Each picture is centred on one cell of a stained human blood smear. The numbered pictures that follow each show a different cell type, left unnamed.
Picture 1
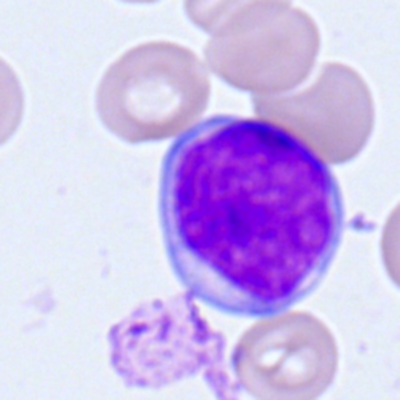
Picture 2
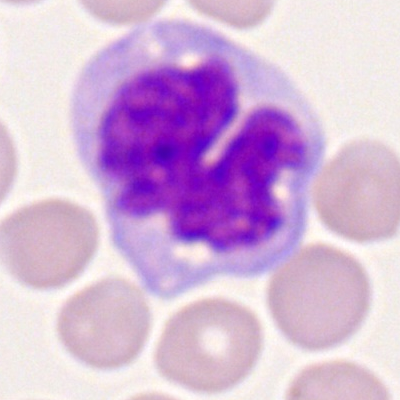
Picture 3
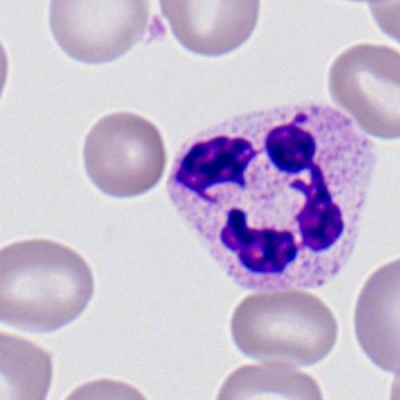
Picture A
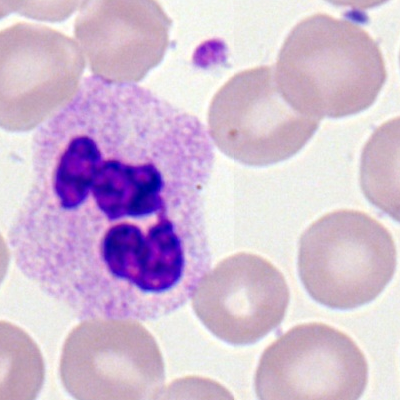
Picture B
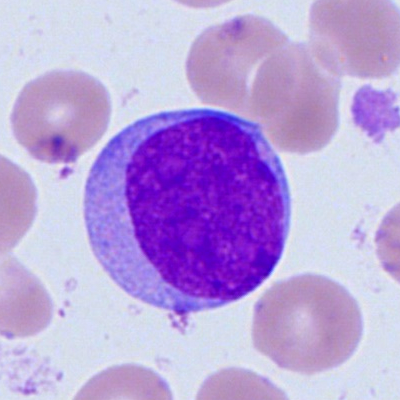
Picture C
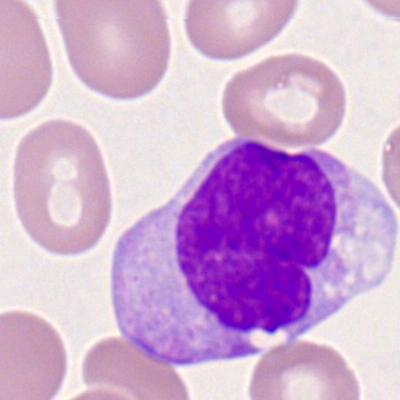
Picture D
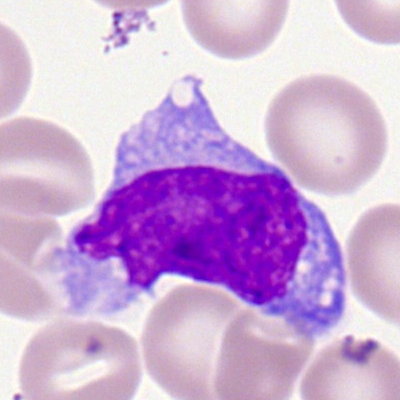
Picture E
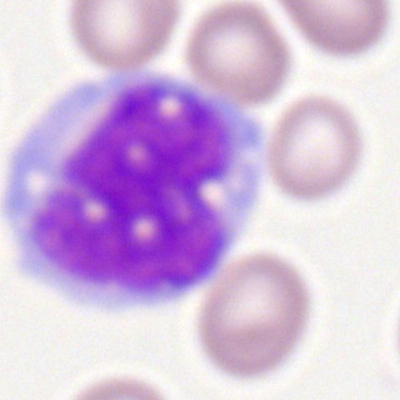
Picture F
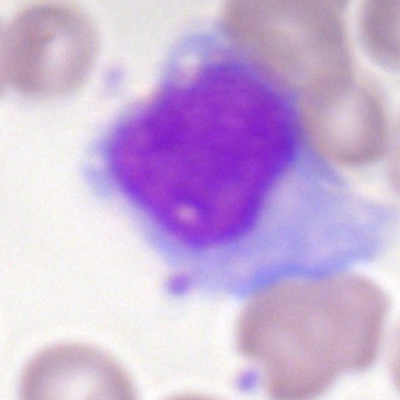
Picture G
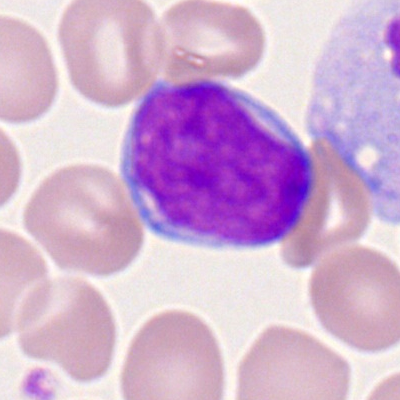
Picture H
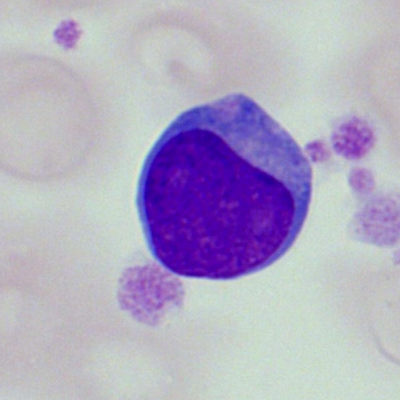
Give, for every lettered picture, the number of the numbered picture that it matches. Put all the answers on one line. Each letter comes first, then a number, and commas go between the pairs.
A 3, B 1, C 2, D 2, E 2, F 2, G 1, H 1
